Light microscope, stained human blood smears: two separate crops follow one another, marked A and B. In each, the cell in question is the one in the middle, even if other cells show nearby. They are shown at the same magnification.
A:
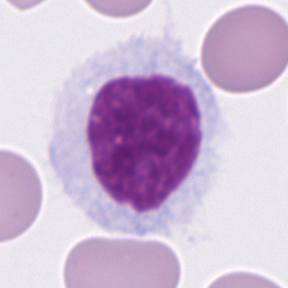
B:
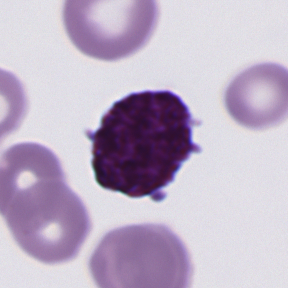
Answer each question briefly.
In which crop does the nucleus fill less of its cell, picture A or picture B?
A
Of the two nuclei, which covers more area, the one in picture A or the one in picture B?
A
